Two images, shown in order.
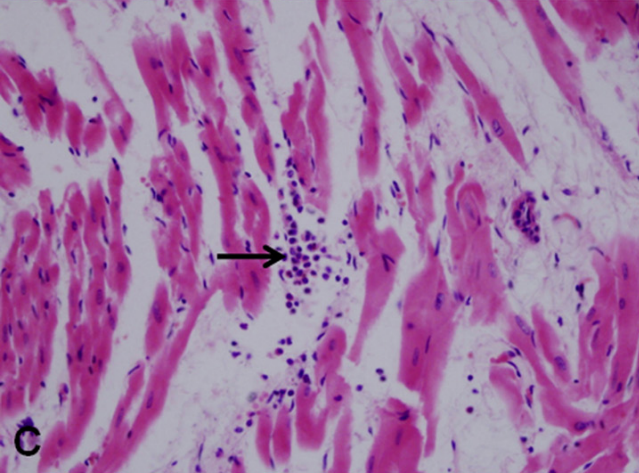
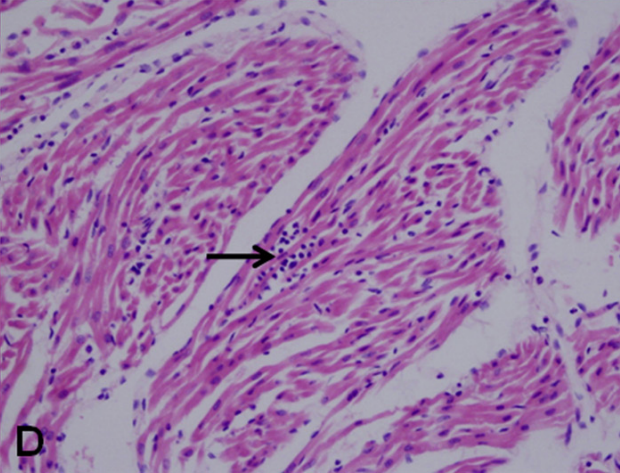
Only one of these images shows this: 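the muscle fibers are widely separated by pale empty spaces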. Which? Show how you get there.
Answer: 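The first image. Second image: muscle fibers lie in fairly compact bundles with narrower gaps between bundles. First image: individual fibers are pulled apart by broad pale spaces.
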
